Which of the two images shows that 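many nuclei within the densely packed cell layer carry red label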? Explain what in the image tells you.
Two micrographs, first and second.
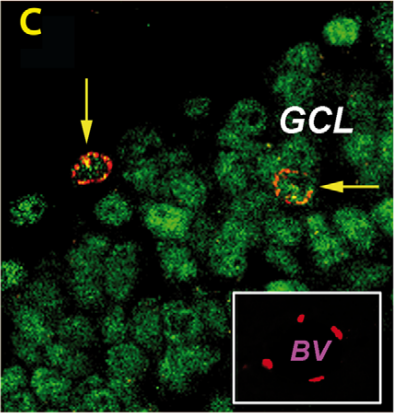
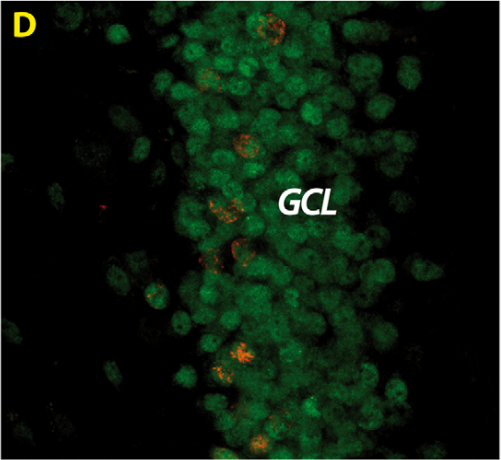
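The second image. Second image: numerous green nuclei within the packed layer show red speckles. First image: only two cells carry red label among the green nuclei.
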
